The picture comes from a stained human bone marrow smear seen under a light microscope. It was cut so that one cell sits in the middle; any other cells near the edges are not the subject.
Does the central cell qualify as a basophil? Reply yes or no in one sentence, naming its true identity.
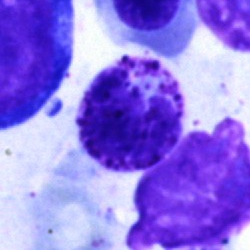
Yes, as regards the cell in the middle, it is a basophil.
